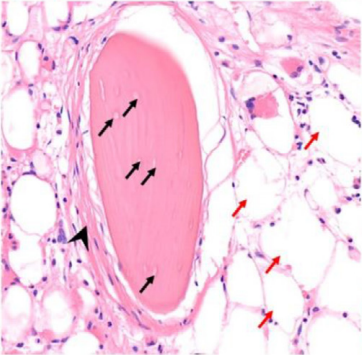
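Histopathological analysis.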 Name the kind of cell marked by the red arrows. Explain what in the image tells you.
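Fat cells. Large round clear vacuoles with thin pink rims. Vacuoles are packed together in the marrow next to the bone.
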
